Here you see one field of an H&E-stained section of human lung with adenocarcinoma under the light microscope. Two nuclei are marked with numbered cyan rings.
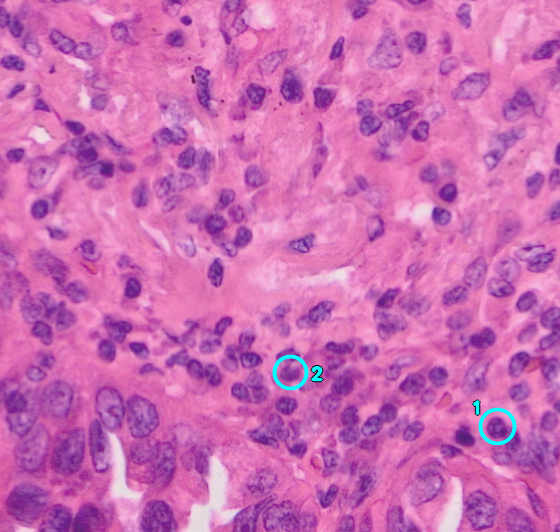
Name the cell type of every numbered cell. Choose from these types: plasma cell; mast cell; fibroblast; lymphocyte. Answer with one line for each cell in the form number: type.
1: lymphocyte
2: plasma cell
